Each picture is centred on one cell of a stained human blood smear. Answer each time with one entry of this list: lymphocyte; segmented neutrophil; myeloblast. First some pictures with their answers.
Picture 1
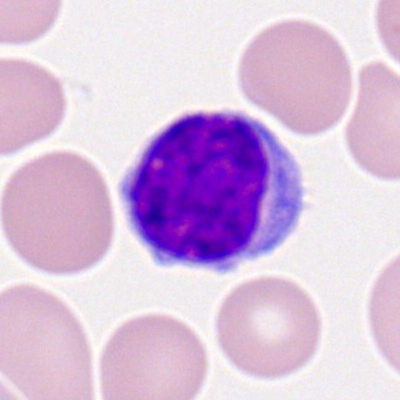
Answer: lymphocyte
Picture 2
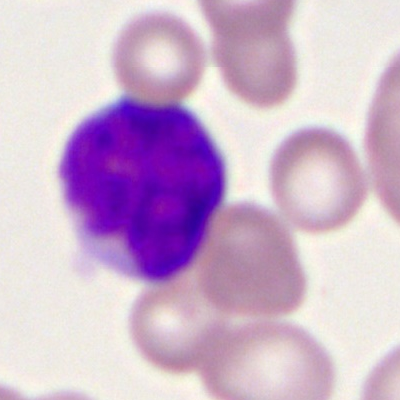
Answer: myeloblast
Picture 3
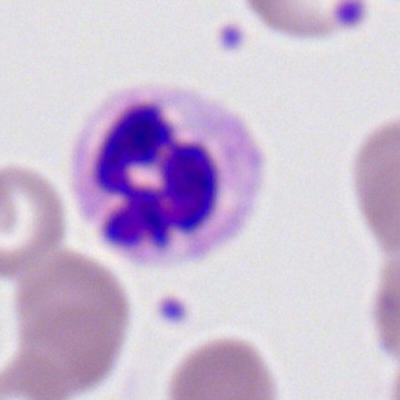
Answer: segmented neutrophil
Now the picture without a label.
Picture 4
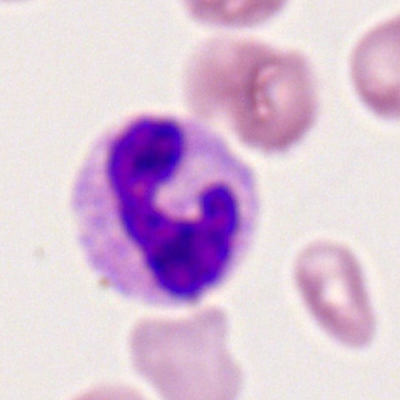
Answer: segmented neutrophil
